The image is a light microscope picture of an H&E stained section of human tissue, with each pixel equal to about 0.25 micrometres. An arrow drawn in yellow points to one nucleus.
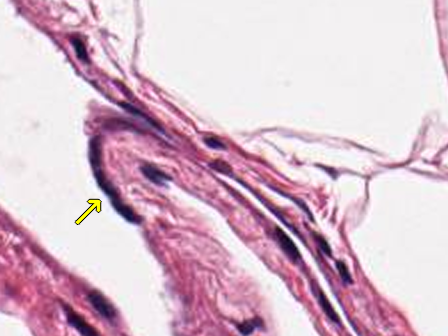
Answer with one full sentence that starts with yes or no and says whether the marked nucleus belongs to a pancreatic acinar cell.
No, the marked nucleus does not come from a pancreatic acinar cell but from a supporting cell.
